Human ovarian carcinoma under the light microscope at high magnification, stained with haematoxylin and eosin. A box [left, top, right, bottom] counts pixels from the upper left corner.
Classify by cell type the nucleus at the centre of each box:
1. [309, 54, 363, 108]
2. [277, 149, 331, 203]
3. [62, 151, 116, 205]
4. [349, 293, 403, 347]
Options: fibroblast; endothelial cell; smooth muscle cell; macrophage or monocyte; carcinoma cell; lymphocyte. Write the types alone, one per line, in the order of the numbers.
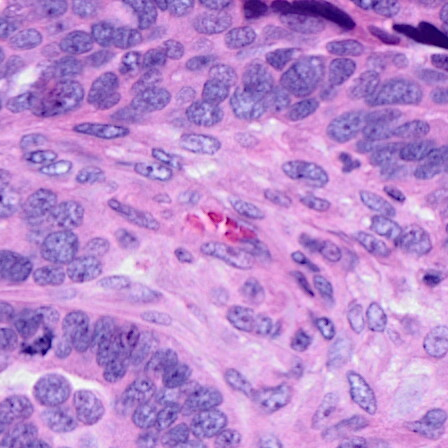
carcinoma cell
fibroblast
fibroblast
fibroblast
